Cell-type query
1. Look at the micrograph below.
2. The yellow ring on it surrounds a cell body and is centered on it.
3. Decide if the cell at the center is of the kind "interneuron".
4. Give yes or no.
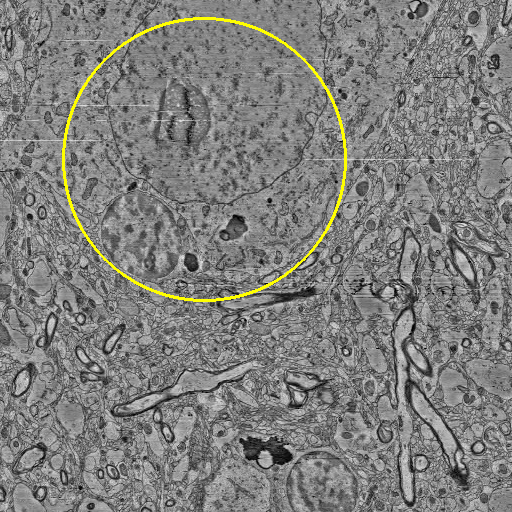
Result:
no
